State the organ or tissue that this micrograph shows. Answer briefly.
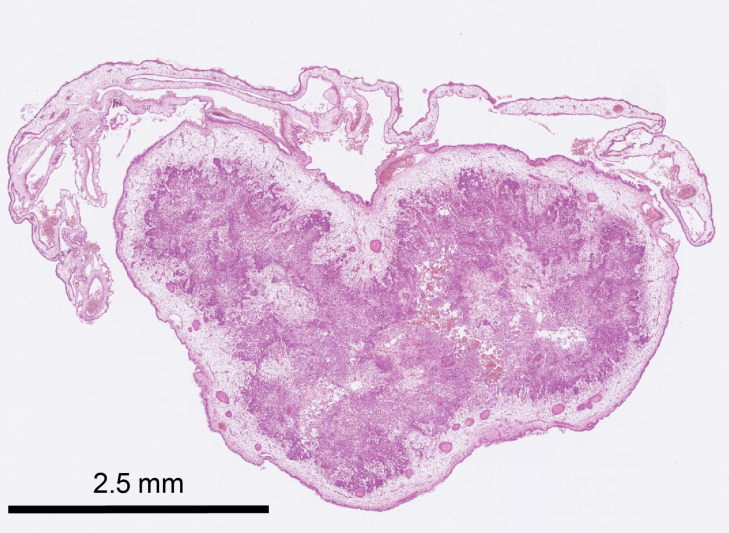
Tumor.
